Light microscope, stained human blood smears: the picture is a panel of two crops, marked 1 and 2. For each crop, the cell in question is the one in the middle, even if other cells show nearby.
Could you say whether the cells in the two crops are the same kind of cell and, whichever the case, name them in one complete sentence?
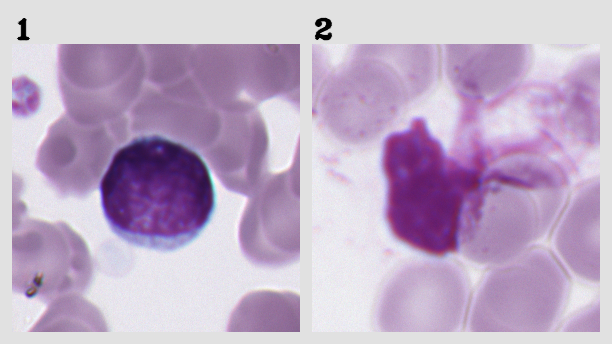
No, for crop 1 the cell is a typical lymphocyte, and for crop 2 it is a smudge cell.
